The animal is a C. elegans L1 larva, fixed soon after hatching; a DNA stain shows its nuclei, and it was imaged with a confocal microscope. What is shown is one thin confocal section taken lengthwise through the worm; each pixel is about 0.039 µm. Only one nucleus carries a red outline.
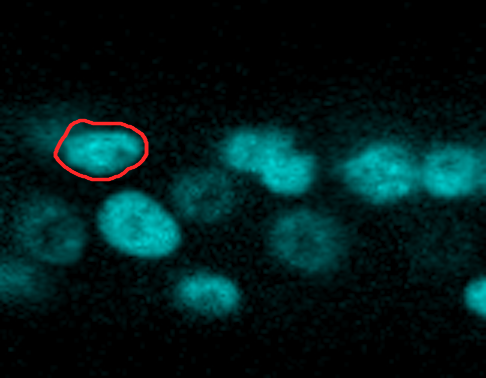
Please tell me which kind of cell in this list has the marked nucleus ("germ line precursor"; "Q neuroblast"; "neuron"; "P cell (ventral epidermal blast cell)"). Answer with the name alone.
P cell (ventral epidermal blast cell)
